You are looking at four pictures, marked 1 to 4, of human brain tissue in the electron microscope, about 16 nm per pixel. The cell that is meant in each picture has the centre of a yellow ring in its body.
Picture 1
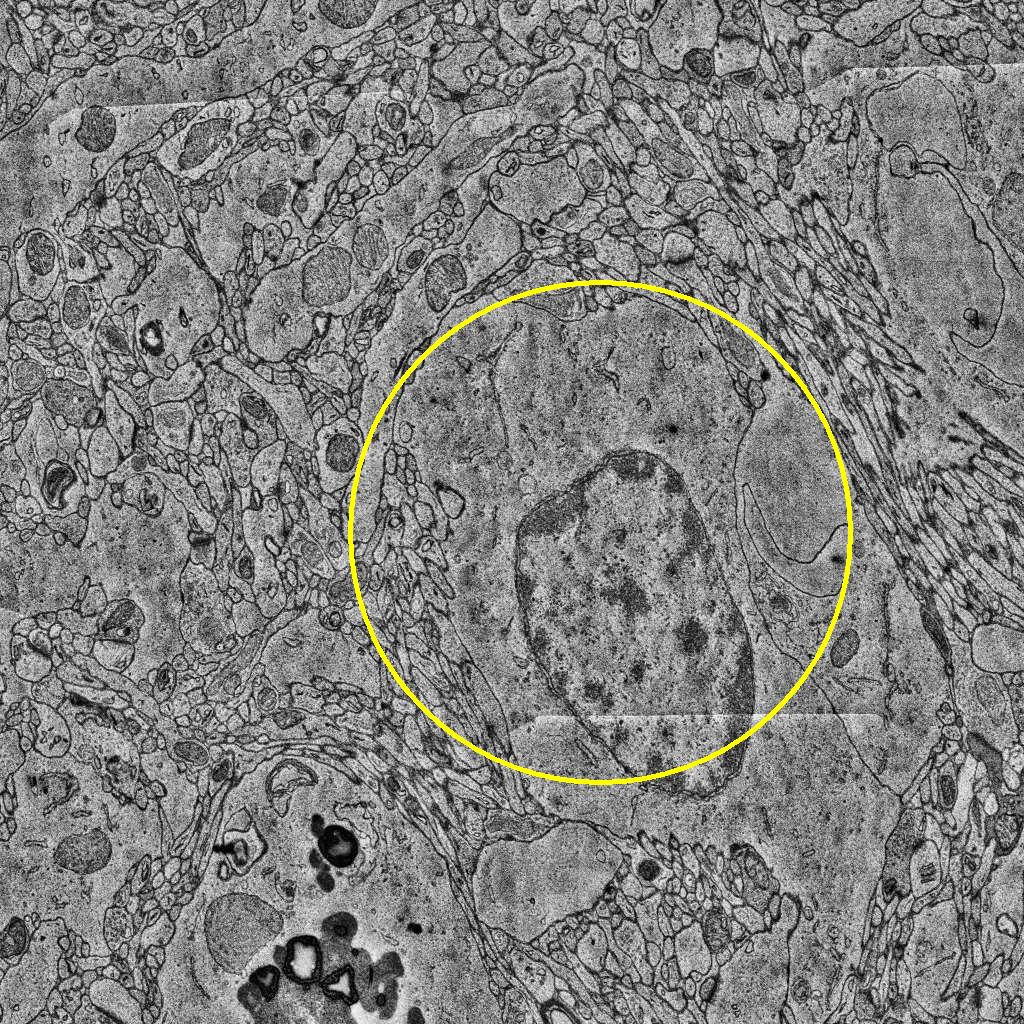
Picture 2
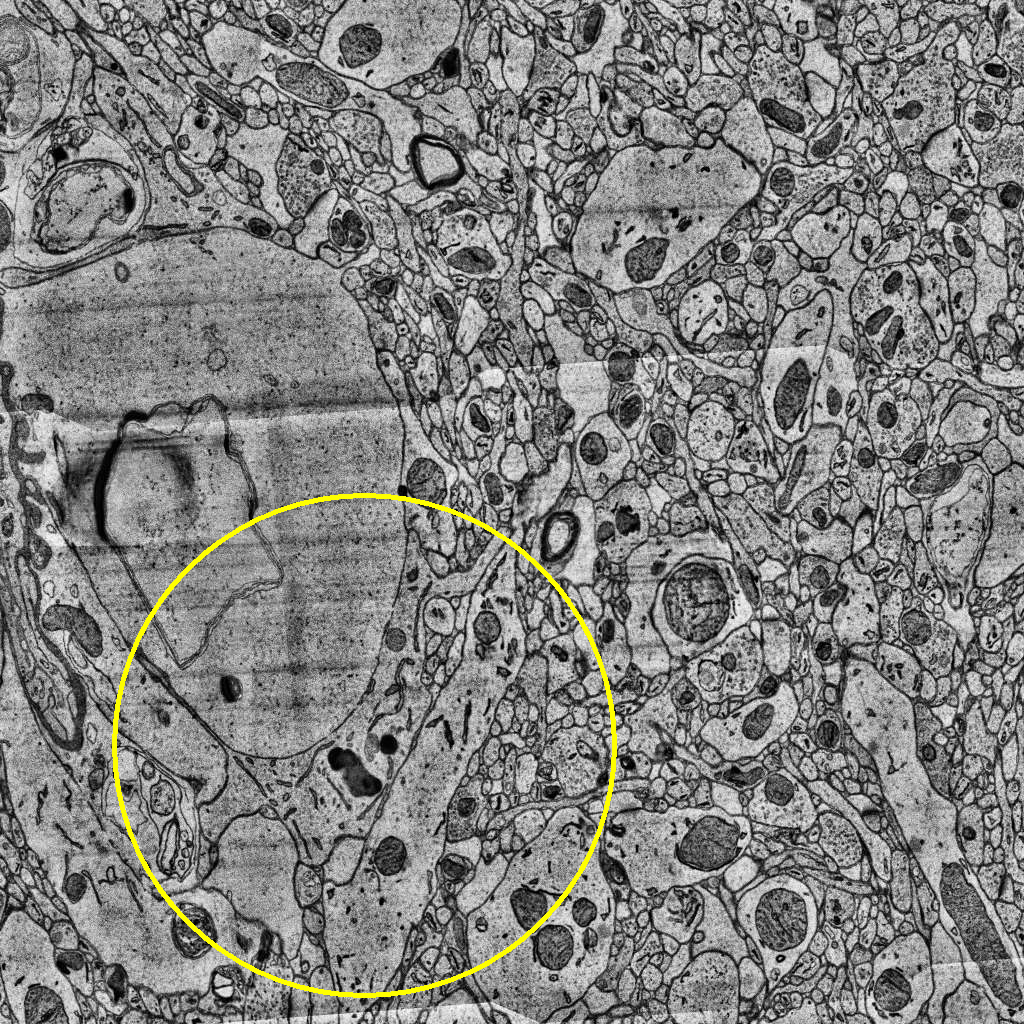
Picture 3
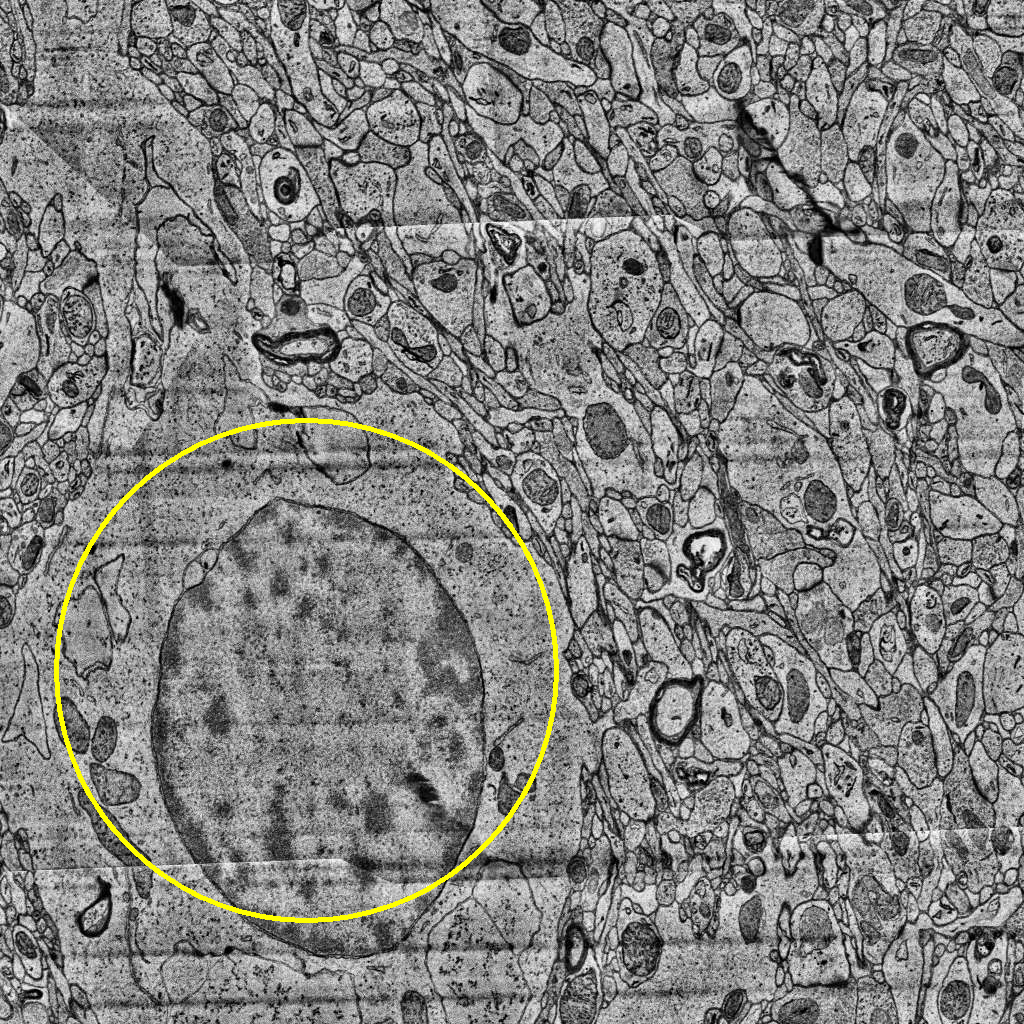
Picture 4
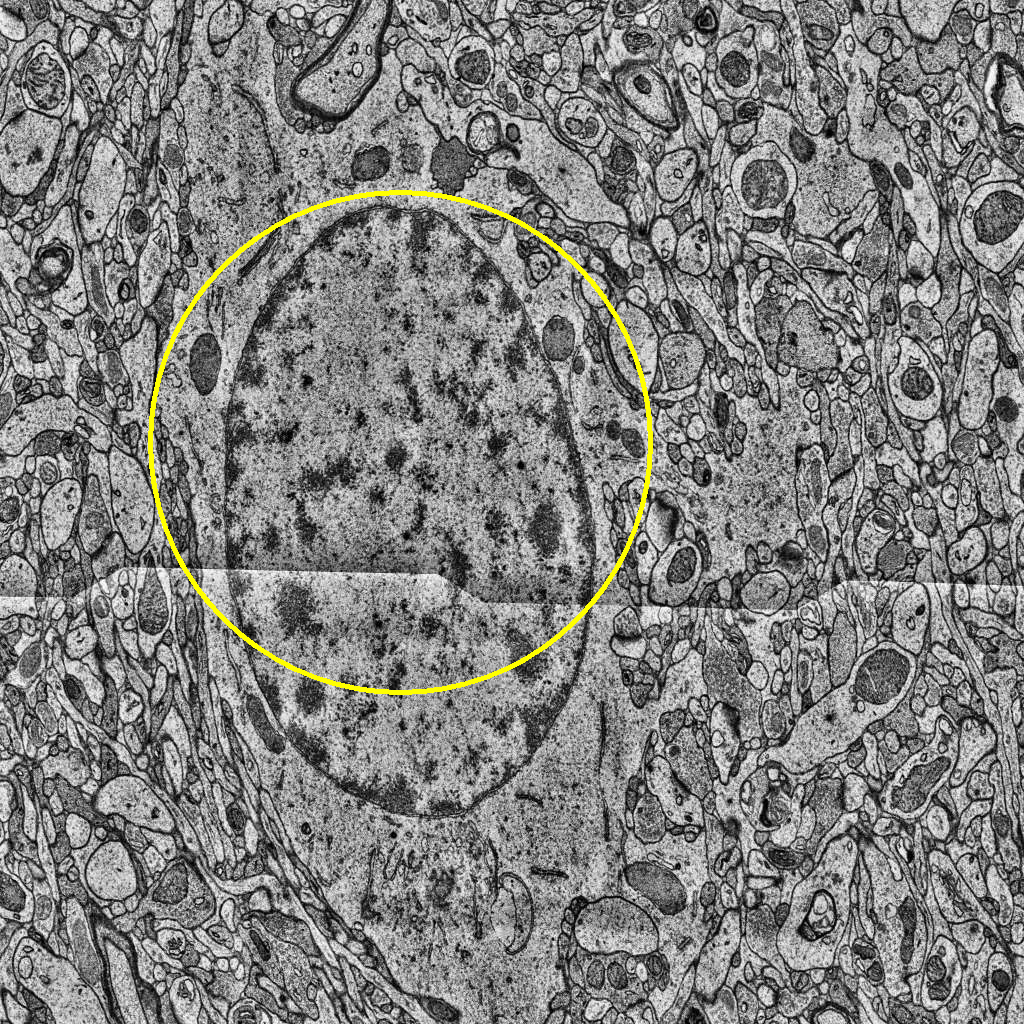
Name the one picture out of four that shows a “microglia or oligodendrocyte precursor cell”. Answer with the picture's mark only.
2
